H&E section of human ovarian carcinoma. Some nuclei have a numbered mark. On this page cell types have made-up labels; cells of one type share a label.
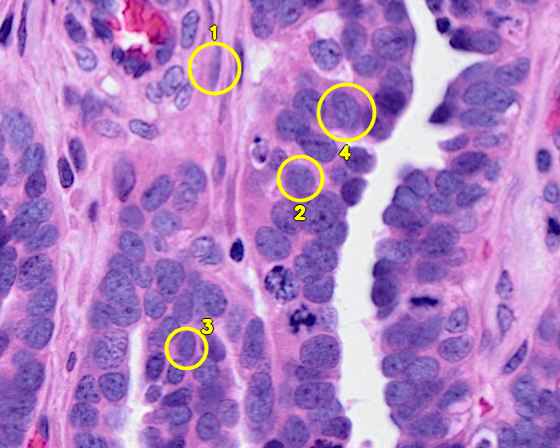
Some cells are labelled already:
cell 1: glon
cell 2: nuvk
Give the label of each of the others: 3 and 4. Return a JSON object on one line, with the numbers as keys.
{"3": "nuvk", "4": "nuvk"}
